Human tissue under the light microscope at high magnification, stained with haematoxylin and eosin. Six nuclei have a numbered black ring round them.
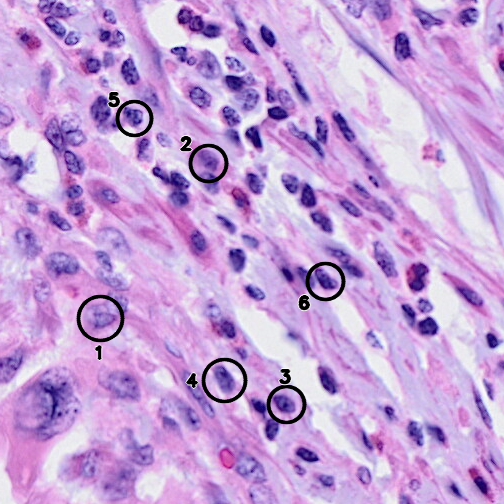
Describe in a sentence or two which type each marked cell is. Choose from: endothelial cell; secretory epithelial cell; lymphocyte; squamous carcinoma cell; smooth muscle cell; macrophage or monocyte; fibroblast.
Cell 1 is an endothelial cell, cell 2 is a macrophage or monocyte, cell 3 is a lymphocyte, cell 4 is a lymphocyte, cell 5 is a lymphocyte and cell 6 is a lymphocyte.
